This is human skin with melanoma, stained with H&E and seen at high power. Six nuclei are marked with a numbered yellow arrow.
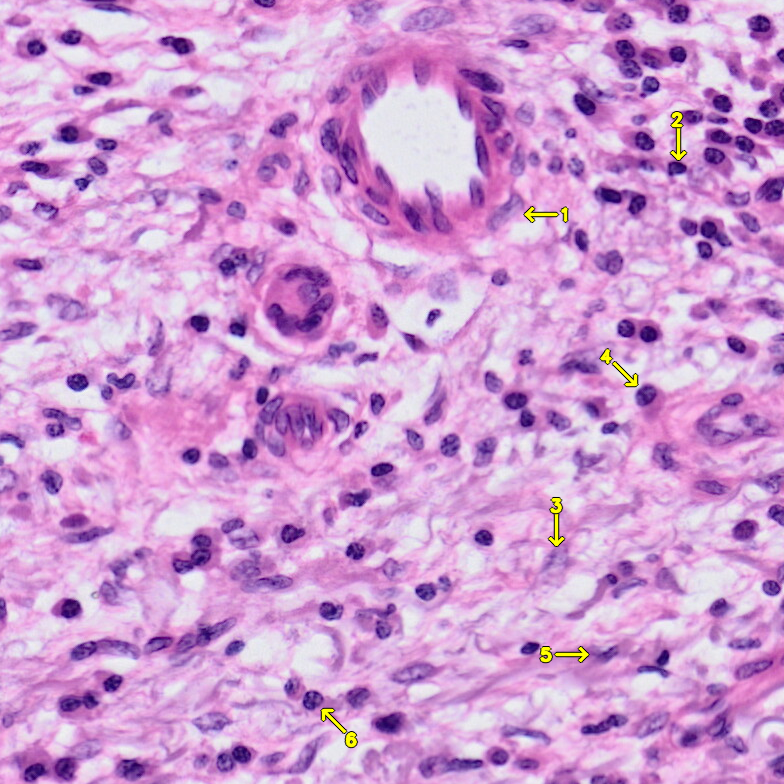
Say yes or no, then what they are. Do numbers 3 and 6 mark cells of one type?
No, cell 3 counts as a fibroblast or myofibroblast, and cell 6 counts as a plasma cell.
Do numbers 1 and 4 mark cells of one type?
No, cell 1 is categorized as a fibroblast or myofibroblast, while cell 4 is categorized as a plasma cell.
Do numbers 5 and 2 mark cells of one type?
No, the cell marked 5 is a fibroblast or myofibroblast, and the cell marked 2 is a plasma cell.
